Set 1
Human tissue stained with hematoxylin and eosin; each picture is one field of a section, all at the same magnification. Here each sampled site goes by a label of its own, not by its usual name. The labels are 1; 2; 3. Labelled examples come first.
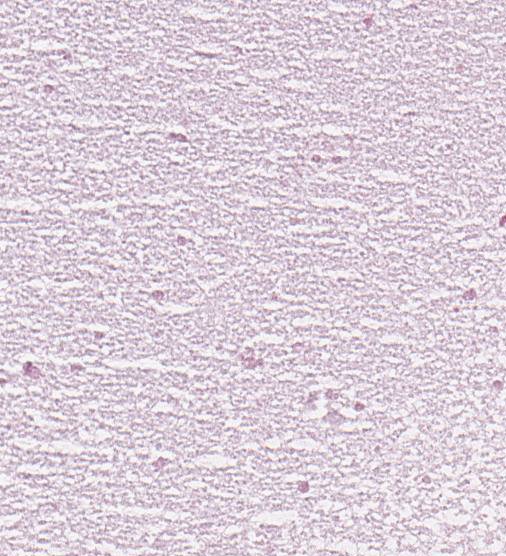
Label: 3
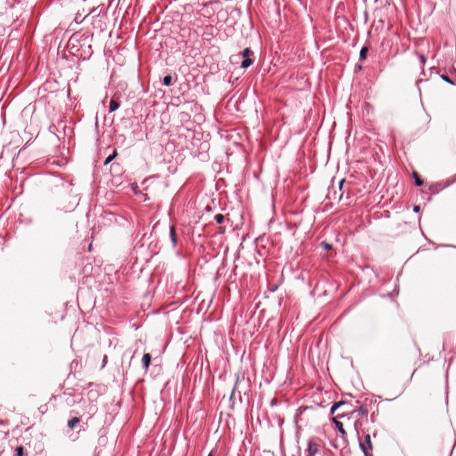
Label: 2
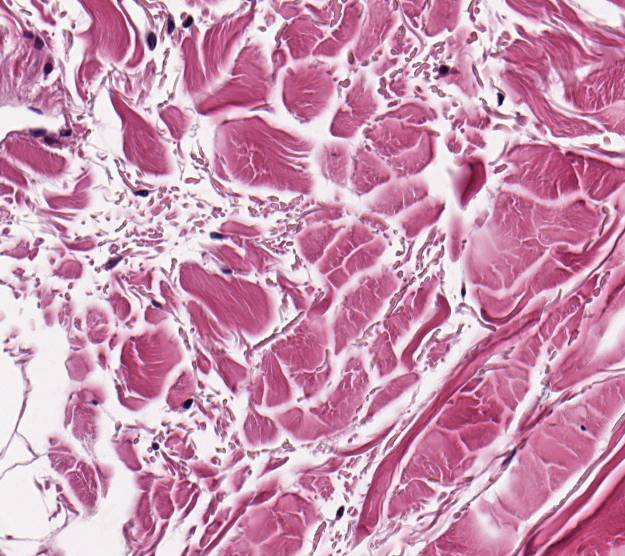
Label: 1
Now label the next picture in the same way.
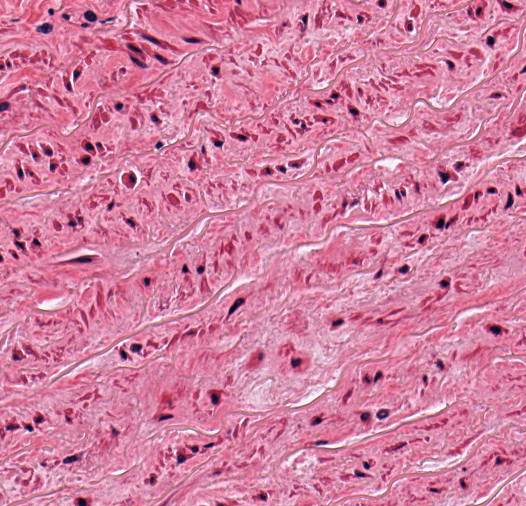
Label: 2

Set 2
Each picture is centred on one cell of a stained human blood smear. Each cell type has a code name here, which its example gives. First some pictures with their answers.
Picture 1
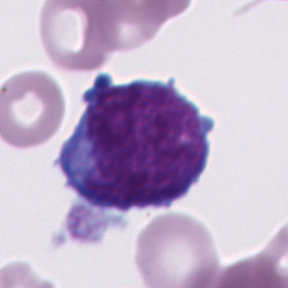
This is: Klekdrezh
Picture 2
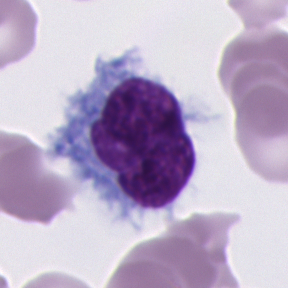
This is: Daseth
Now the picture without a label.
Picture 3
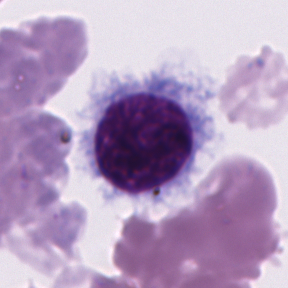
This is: Daseth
